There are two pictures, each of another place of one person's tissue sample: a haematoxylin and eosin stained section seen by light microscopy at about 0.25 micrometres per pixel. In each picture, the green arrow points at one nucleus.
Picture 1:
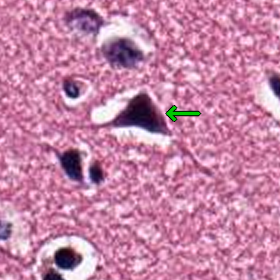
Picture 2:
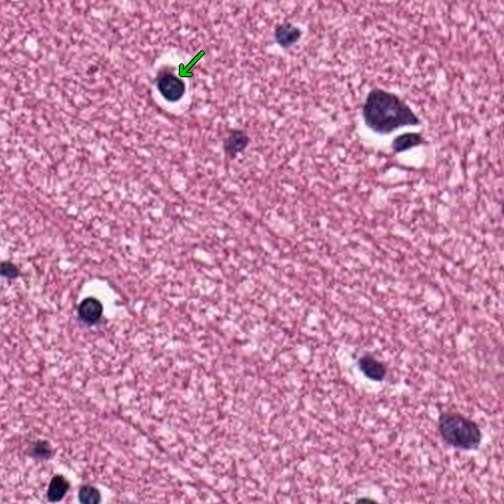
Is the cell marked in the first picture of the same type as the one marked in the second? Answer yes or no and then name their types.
No, the first is a neuron and the second an oligodendrocyte.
